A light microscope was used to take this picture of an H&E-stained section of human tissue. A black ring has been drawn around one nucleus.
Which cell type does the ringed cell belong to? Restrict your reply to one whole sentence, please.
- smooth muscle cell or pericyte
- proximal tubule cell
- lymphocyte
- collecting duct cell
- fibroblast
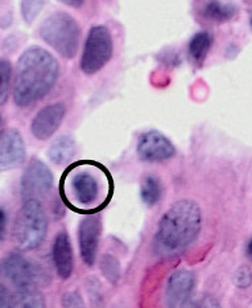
In cell-type terms, the ringed cell is a lymphocyte.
